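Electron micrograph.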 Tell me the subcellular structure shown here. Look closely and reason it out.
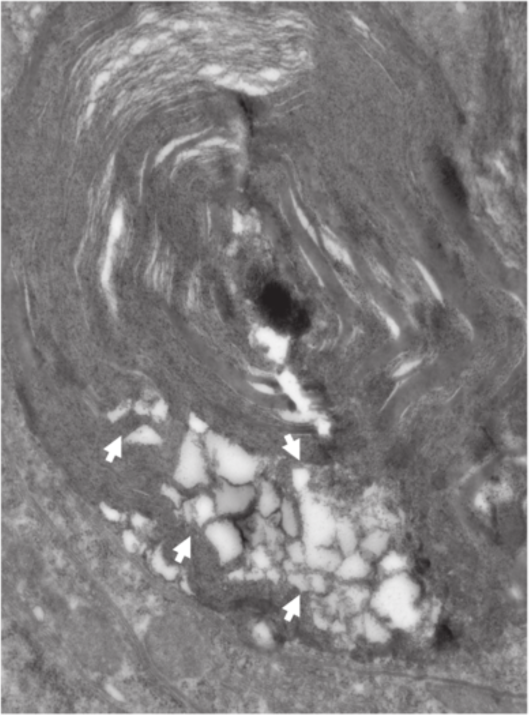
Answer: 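Lysosome. A large membrane-bound organelle packed with layered membranous material. Pale, fragmented clear spaces within its contents.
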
